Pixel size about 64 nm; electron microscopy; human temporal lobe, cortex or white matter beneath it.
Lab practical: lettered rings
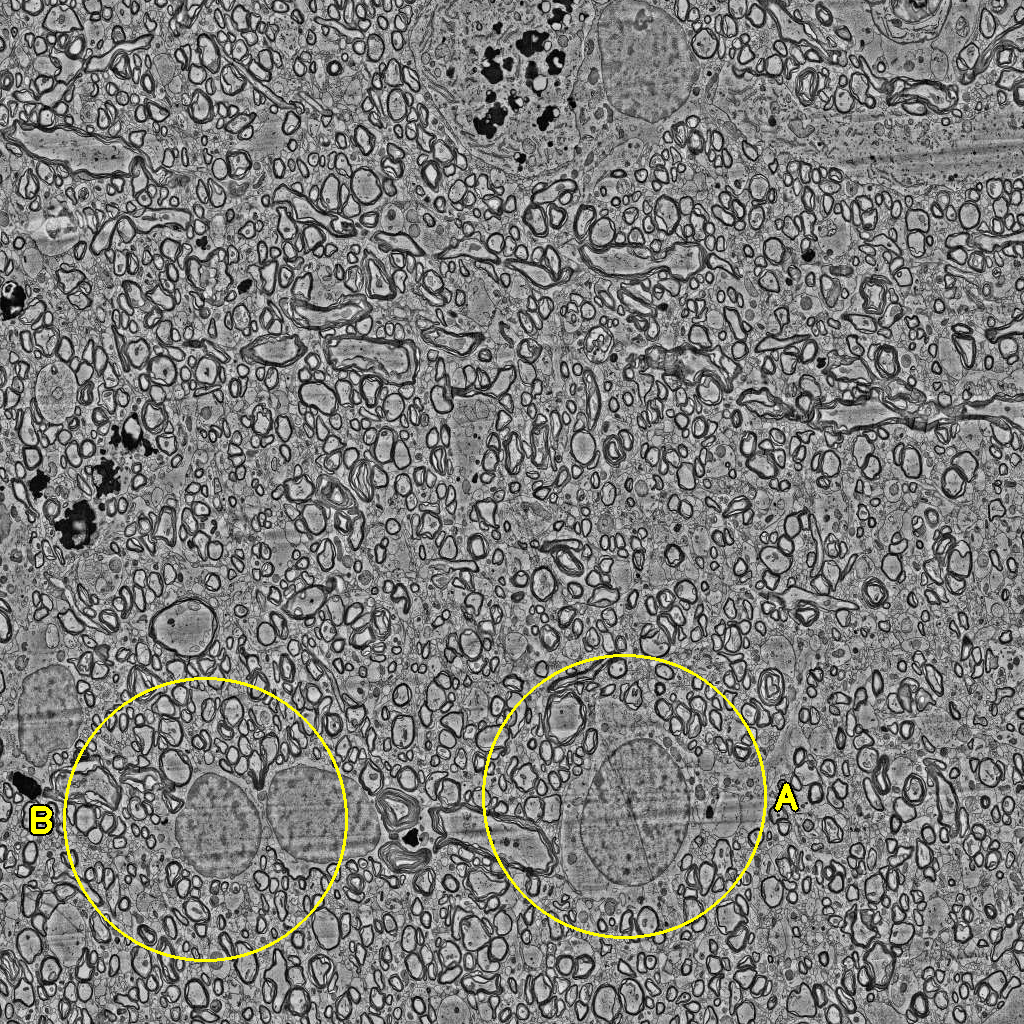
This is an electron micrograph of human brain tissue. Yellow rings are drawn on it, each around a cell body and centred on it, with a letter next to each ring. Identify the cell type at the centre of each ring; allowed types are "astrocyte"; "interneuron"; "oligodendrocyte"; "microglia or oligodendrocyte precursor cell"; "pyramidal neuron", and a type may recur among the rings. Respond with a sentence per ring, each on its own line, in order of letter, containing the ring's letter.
Lying at the centre of ring A is an astrocyte.
Lying at the centre of ring B is an oligodendrocyte.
